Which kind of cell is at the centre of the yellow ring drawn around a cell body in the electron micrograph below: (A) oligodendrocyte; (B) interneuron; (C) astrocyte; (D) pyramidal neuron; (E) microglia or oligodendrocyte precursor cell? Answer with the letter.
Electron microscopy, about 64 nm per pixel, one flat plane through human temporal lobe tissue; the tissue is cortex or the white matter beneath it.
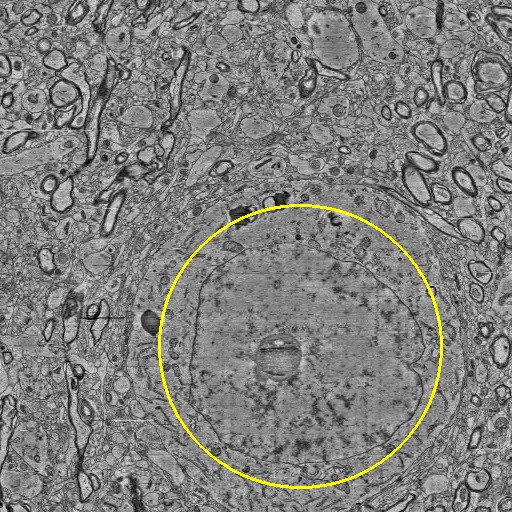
D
